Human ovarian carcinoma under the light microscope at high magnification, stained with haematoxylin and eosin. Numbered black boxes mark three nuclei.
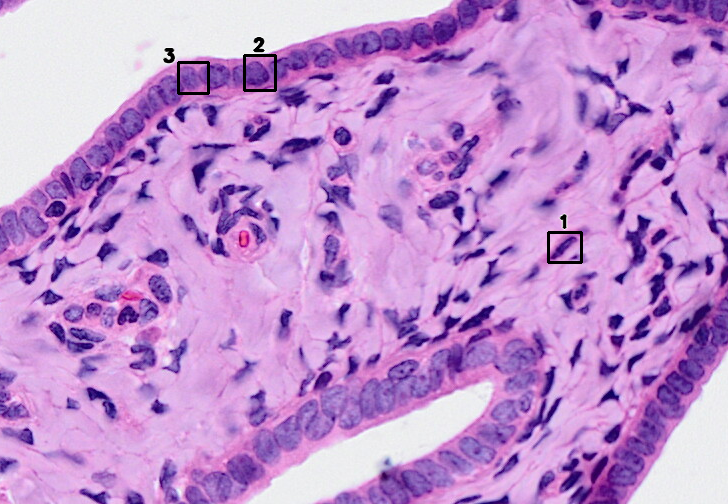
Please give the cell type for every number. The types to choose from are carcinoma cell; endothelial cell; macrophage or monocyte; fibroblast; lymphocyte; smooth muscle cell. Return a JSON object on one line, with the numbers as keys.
{"1": "endothelial cell", "2": "carcinoma cell", "3": "carcinoma cell"}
